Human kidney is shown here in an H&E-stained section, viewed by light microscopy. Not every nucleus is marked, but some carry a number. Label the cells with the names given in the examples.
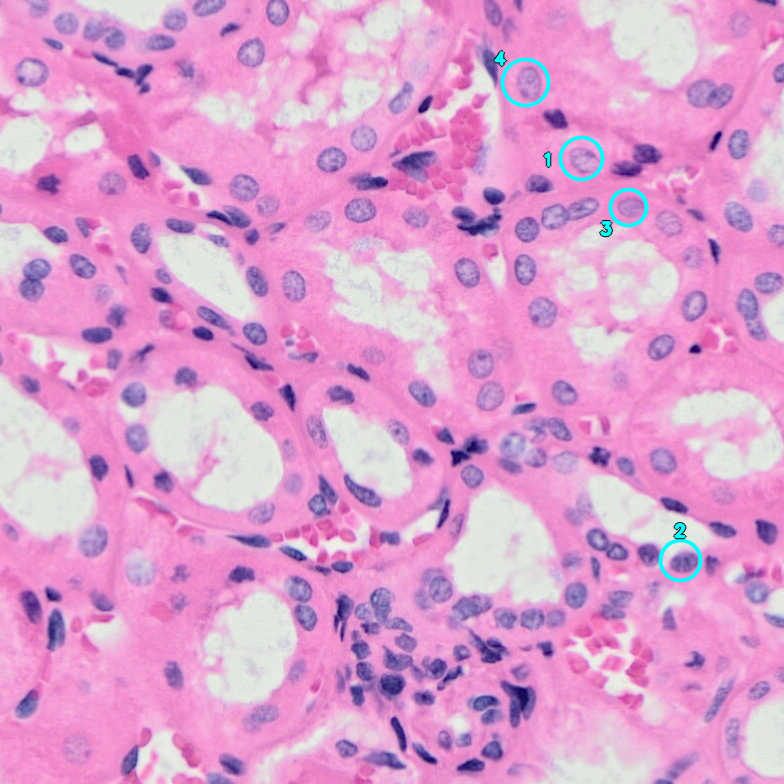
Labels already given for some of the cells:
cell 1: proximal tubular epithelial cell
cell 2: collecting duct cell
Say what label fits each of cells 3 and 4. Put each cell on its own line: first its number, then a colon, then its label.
3: proximal tubular epithelial cell
4: proximal tubular epithelial cell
